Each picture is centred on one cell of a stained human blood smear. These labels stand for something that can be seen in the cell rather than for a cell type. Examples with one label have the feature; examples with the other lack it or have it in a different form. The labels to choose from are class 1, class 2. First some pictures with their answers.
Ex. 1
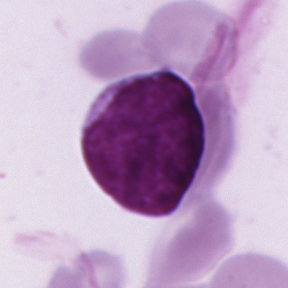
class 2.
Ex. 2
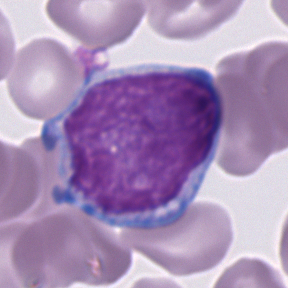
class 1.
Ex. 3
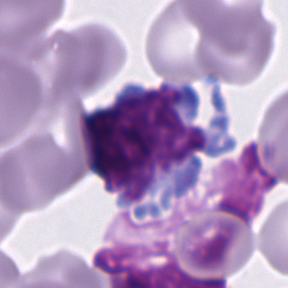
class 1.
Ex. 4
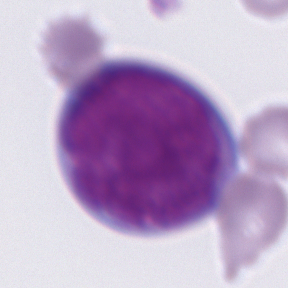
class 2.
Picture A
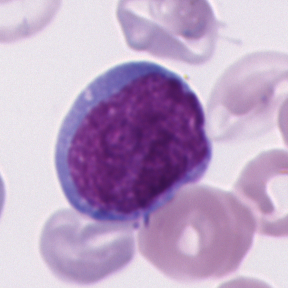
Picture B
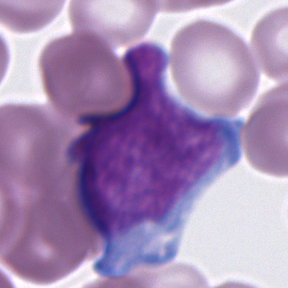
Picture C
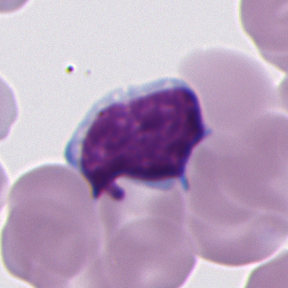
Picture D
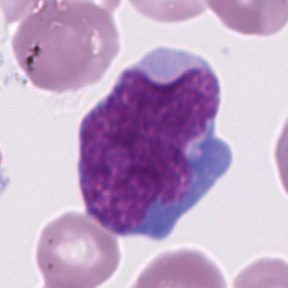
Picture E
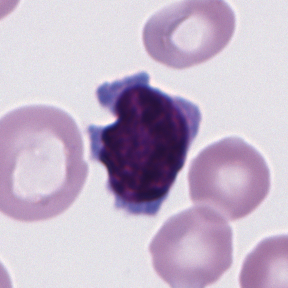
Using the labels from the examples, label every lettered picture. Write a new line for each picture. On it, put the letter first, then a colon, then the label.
A: class 2.
B: class 1.
C: class 1.
D: class 1.
E: class 1.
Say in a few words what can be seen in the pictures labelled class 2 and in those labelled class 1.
In class 2: smooth outline. In class 1: ragged outline or projections.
